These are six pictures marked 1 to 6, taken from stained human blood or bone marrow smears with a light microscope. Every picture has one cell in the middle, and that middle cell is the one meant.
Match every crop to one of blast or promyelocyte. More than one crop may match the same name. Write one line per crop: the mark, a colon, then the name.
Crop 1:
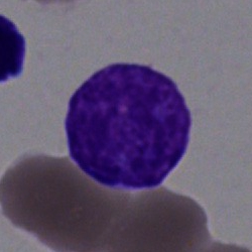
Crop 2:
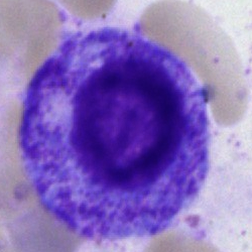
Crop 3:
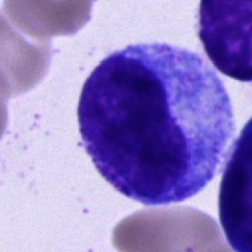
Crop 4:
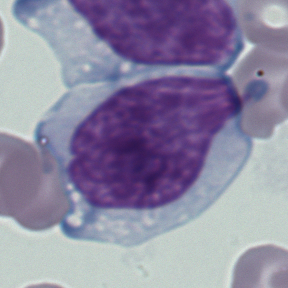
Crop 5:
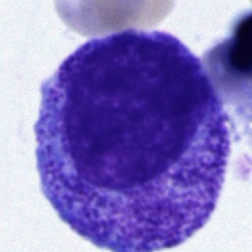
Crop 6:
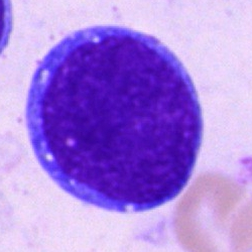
1: blast
2: promyelocyte
3: promyelocyte
4: blast
5: promyelocyte
6: blast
